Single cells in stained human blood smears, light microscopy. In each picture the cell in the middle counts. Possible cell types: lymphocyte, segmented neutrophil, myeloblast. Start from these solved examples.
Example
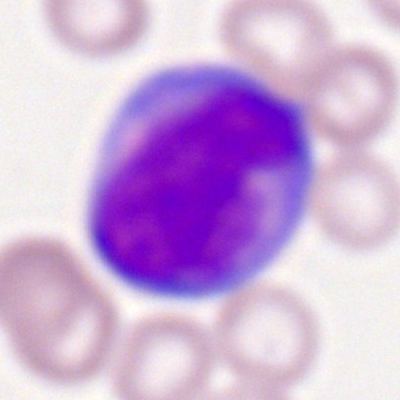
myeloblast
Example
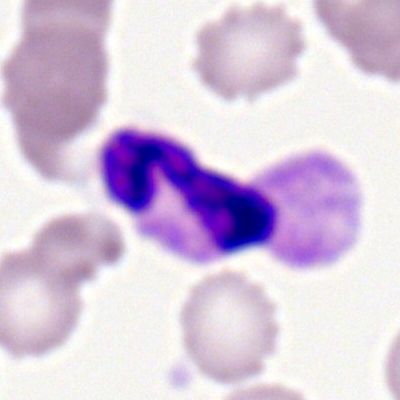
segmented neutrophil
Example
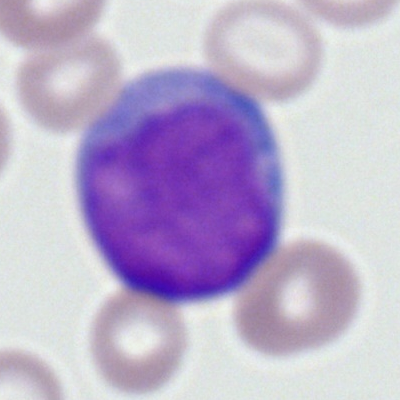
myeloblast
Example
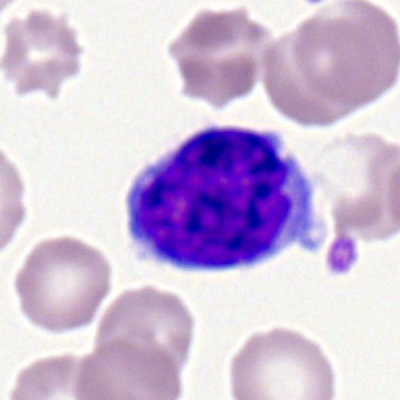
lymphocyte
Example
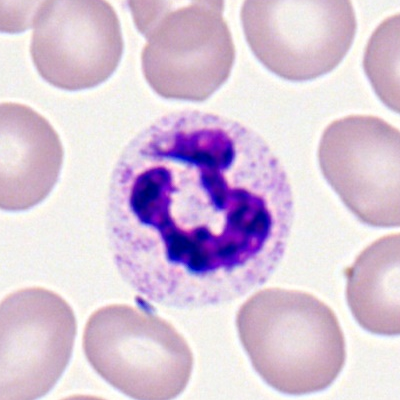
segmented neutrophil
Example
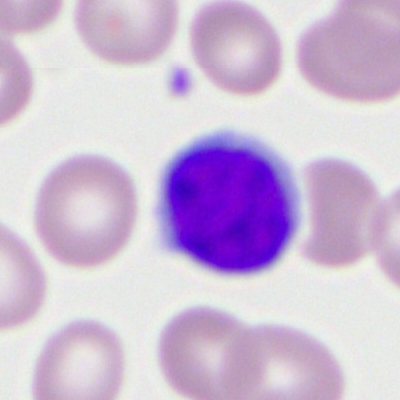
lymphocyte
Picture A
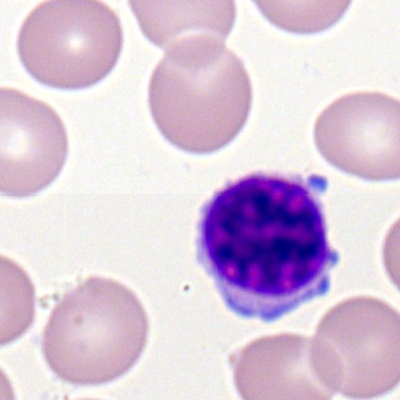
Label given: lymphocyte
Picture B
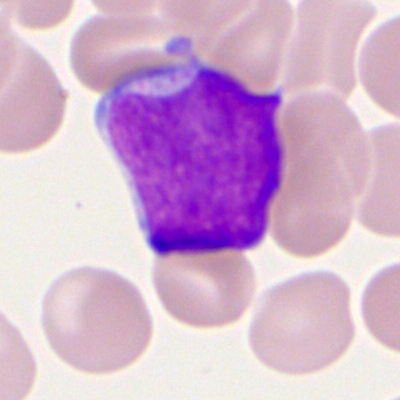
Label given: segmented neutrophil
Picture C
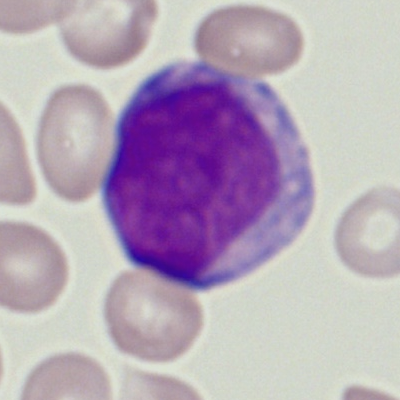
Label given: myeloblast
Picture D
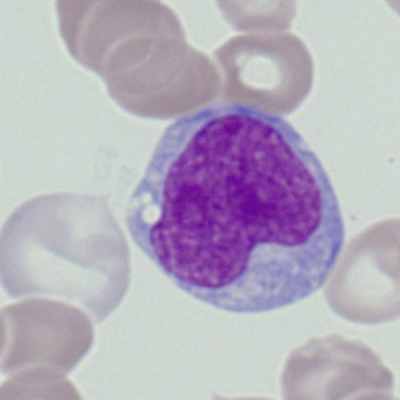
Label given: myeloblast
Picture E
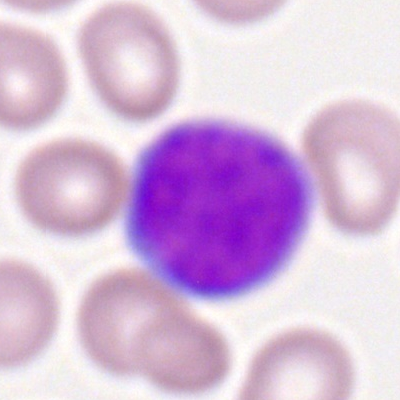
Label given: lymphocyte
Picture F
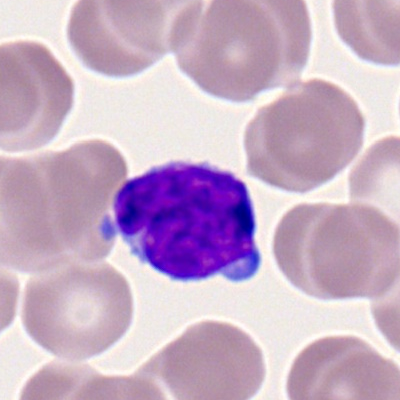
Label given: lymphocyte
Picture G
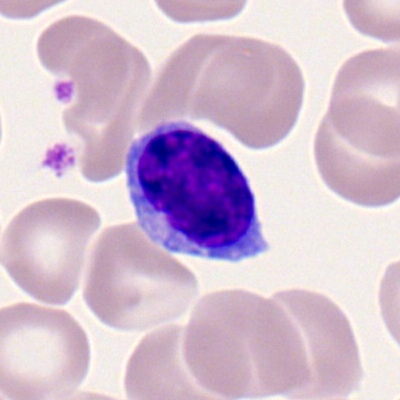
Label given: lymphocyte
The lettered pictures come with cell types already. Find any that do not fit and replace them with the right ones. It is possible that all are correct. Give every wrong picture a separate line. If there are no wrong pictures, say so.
B: change segmented neutrophil to myeloblast
E: change lymphocyte to myeloblast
